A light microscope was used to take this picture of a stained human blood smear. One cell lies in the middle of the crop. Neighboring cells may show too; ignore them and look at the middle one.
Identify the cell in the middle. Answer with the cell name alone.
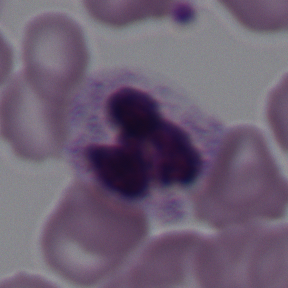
segmented neutrophil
